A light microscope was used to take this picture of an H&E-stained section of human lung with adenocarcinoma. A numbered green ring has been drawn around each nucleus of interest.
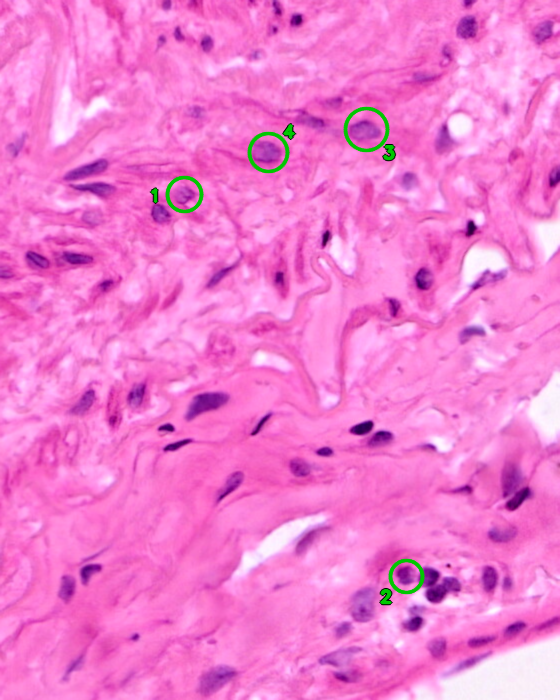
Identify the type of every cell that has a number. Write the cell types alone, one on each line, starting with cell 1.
smooth muscle cell or pericyte
lymphocyte
smooth muscle cell or pericyte
smooth muscle cell or pericyte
